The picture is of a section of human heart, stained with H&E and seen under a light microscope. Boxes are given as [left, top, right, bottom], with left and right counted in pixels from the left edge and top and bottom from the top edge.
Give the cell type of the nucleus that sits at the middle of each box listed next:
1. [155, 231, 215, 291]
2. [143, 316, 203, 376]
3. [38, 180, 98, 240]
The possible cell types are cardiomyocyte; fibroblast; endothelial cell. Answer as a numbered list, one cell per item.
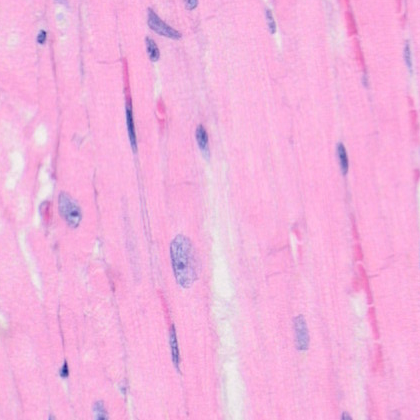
1. cardiomyocyte
2. endothelial cell
3. cardiomyocyte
